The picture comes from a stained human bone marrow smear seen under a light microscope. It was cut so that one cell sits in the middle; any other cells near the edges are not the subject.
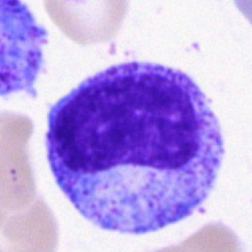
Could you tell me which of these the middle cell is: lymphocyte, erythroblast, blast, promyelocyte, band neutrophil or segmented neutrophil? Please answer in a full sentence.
For this crop, the central cell is a promyelocyte.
